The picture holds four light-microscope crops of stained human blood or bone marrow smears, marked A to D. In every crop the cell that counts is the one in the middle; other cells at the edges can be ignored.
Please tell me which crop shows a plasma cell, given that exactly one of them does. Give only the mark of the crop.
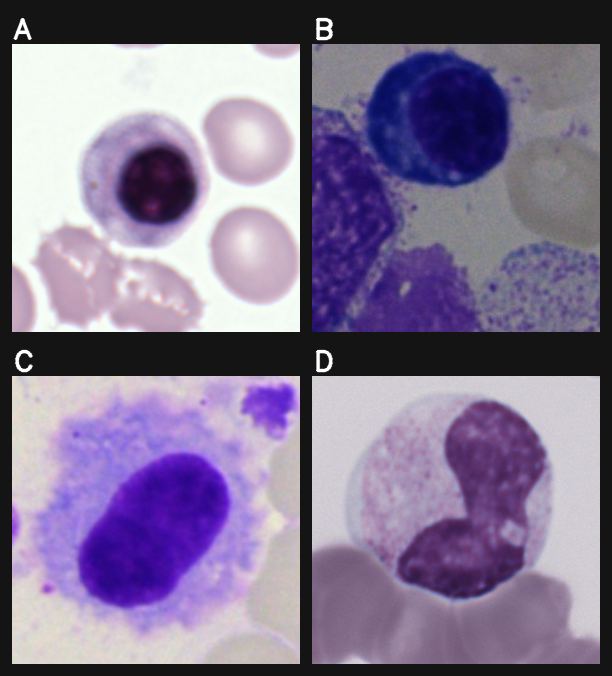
B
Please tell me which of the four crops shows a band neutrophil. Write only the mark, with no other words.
D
